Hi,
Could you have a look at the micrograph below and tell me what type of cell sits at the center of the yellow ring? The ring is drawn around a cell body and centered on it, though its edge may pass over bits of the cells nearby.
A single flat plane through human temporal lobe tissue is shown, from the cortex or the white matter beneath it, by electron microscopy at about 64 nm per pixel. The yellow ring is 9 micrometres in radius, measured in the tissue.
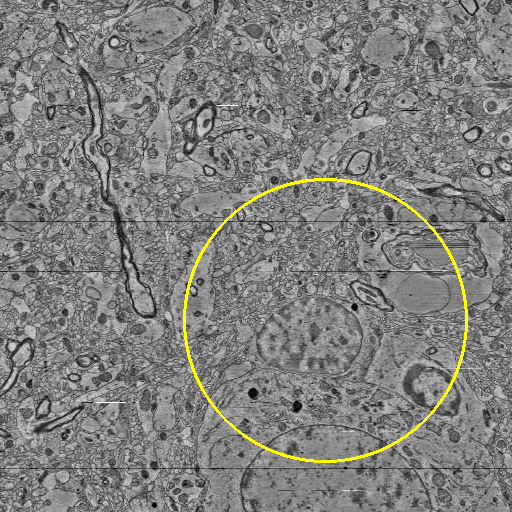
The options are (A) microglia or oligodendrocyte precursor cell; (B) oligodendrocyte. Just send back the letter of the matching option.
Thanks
B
